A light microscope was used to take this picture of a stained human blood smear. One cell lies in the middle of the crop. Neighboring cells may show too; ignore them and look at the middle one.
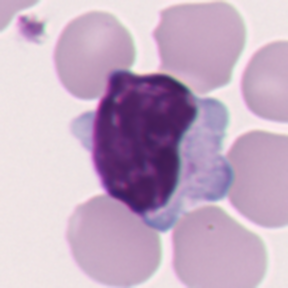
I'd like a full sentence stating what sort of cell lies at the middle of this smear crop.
In the middle of this smear crop, the cell is a typical lymphocyte.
